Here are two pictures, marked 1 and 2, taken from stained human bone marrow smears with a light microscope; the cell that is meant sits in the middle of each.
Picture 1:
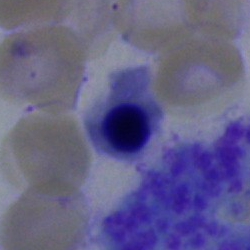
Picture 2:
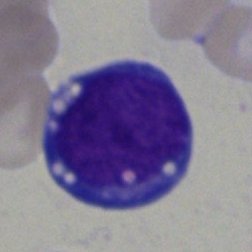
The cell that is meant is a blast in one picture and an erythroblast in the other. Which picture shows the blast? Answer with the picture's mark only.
2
